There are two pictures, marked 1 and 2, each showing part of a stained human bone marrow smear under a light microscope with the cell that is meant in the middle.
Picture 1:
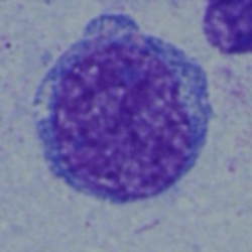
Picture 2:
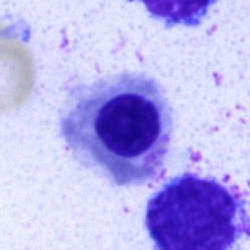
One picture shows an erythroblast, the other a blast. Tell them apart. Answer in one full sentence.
The cell in picture 1 is a blast, and the one in picture 2 is an erythroblast.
